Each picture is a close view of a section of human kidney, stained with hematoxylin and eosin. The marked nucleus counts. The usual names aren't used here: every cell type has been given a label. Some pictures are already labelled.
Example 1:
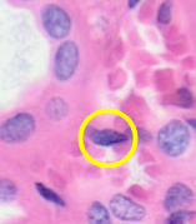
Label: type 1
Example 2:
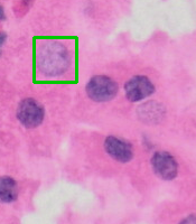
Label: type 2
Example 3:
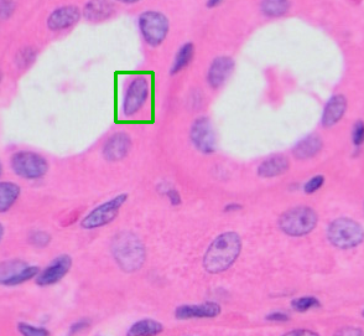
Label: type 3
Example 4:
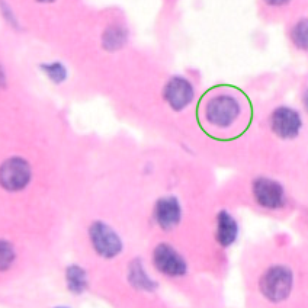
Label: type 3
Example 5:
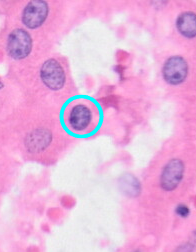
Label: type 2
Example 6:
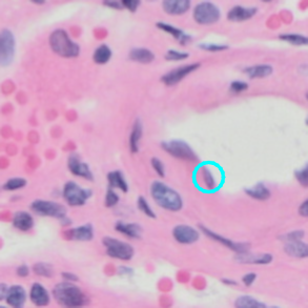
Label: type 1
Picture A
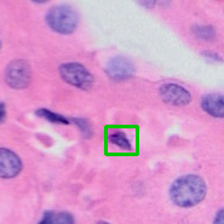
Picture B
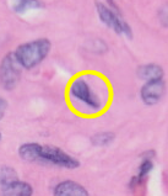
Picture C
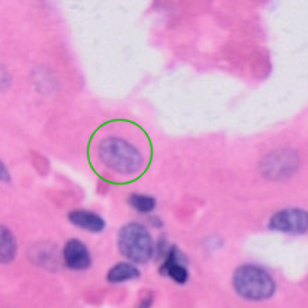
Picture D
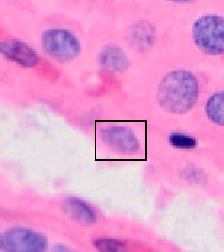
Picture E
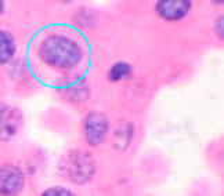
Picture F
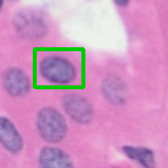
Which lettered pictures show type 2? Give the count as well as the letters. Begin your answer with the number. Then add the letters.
Count: 1 (C)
